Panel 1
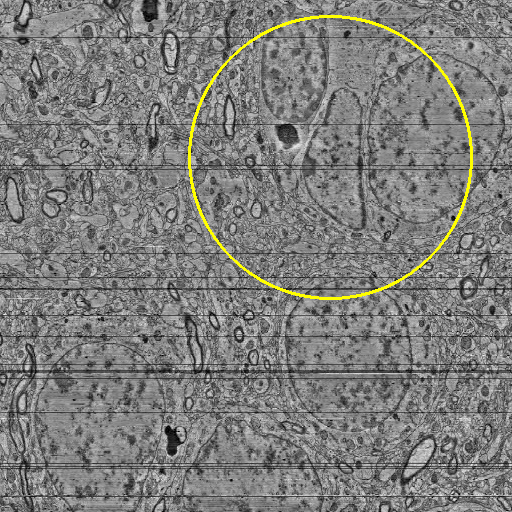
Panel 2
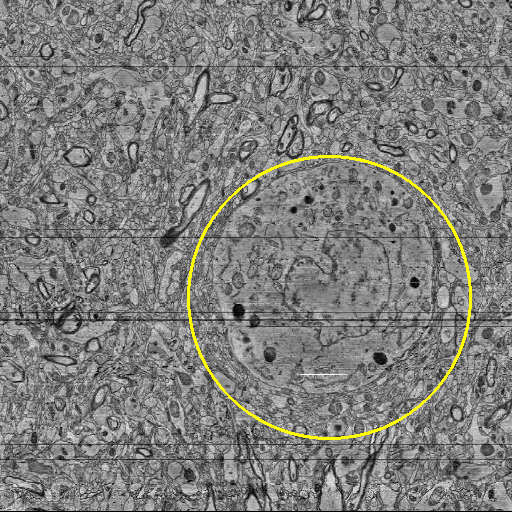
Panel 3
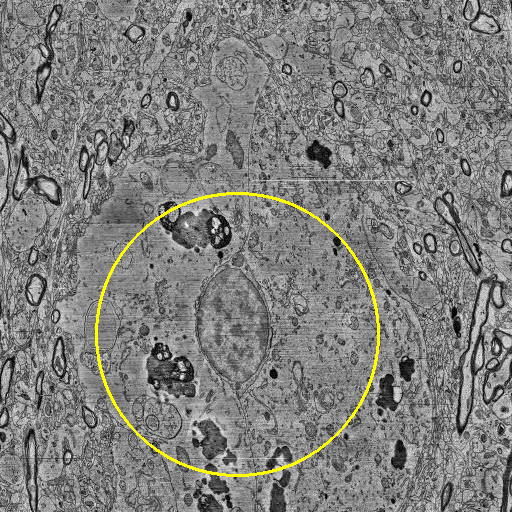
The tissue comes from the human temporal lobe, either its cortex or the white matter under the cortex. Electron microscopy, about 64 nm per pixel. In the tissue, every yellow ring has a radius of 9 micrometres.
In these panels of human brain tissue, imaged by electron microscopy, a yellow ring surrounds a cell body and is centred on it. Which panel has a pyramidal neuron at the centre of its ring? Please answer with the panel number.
2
